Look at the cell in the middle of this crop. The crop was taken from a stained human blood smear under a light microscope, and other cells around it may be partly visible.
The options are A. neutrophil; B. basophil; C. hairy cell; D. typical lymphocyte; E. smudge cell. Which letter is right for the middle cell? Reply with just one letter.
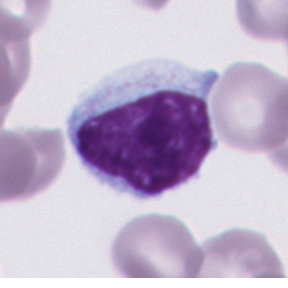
D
